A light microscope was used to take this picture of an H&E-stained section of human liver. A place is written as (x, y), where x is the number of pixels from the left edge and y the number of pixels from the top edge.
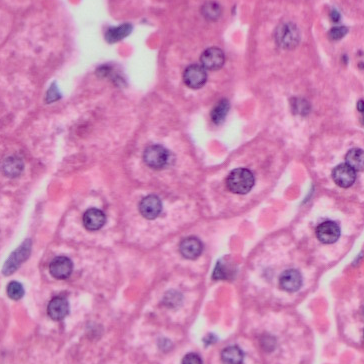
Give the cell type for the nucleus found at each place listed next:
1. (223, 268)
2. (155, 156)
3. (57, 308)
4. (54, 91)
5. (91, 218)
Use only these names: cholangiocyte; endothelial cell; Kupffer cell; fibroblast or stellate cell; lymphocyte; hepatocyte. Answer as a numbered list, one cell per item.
1. endothelial cell
2. hepatocyte
3. hepatocyte
4. endothelial cell
5. hepatocyte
